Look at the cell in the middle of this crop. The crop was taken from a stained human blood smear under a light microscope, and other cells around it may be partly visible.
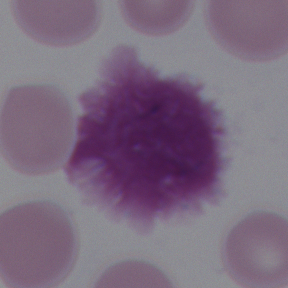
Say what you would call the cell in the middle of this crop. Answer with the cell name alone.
smudge cell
